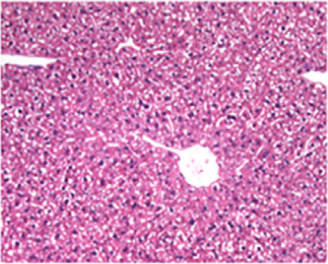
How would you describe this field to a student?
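This is a section of normal liver parenchyma made up of hepatocytes with pink cytoplasm and round purple nuclei. The hepatocytes are arranged in plates that are separated by narrow, pale sinusoidal spaces. A vessel with an open lumen lies near the centre, and the cell plates run toward it. The staining is even across the field. No pale areas devoid of nuclei are seen.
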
